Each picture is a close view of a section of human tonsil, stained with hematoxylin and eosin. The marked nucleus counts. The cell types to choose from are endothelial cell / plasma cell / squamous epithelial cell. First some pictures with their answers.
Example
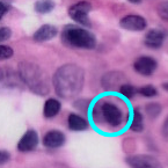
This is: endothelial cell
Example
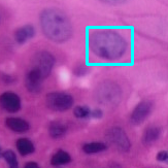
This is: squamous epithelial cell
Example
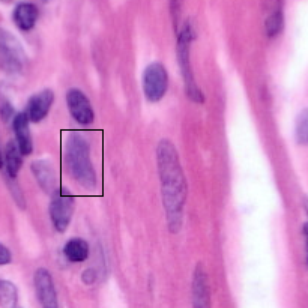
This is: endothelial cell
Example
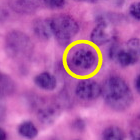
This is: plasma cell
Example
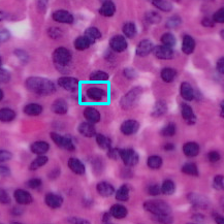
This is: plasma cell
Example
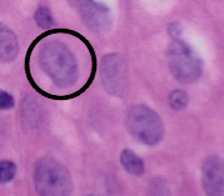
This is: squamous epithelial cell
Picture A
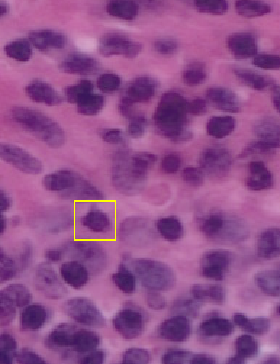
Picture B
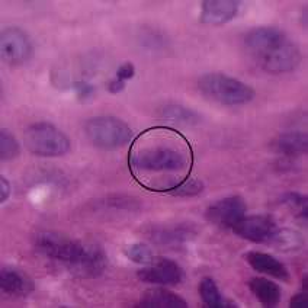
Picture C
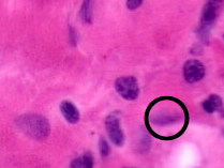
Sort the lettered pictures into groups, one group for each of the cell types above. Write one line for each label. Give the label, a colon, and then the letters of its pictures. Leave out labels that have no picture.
endothelial cell: A, C
squamous epithelial cell: B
